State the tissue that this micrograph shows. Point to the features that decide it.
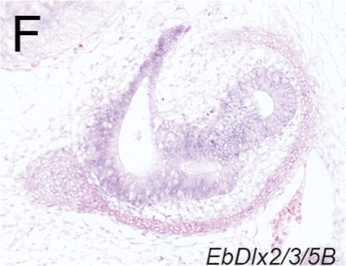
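An epithelial vesicle with an elongated lumen. A curved cellular wall encloses the vesicle.
Inner ear.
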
